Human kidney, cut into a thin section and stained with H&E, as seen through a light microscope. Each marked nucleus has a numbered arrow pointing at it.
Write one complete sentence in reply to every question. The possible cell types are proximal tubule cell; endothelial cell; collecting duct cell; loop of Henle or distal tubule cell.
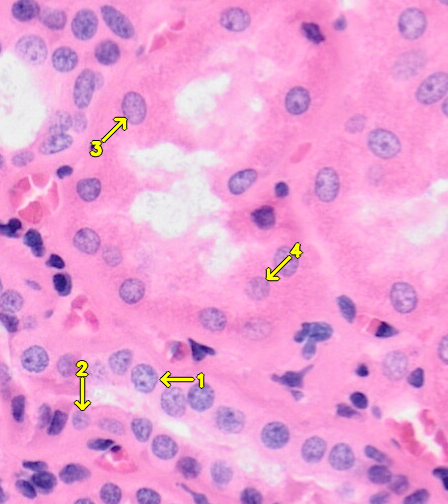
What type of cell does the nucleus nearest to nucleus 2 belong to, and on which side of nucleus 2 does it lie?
Lying to the left of nucleus 2, the nearest nucleus is that of a collecting duct cell.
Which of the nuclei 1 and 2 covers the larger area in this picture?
Nucleus 1 is larger, with an area about 2.5 times that of nucleus 2.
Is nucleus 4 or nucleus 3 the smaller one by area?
Nucleus 4 is the smaller one; nucleus 3 covers about 1.5 times its area.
